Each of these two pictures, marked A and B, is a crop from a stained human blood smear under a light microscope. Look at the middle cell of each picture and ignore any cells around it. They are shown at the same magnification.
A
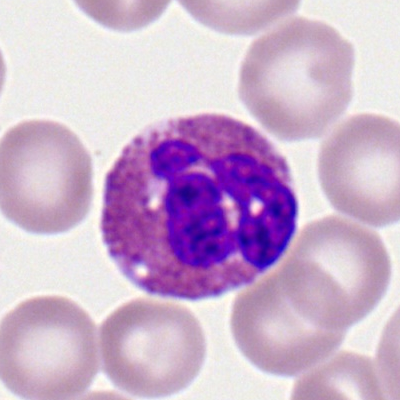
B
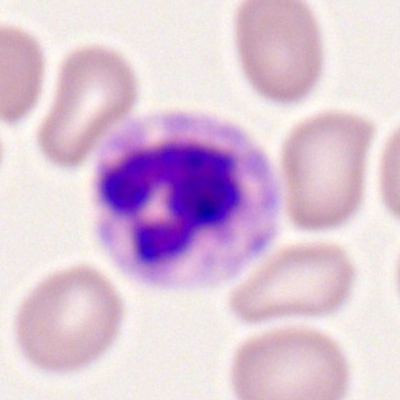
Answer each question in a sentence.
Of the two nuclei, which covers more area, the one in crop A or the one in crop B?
Crop A shows the larger nucleus; it covers about 1.5 times the area of the nucleus in crop B.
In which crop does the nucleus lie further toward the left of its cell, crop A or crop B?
The nucleus in crop B lies further toward the left of its cell.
